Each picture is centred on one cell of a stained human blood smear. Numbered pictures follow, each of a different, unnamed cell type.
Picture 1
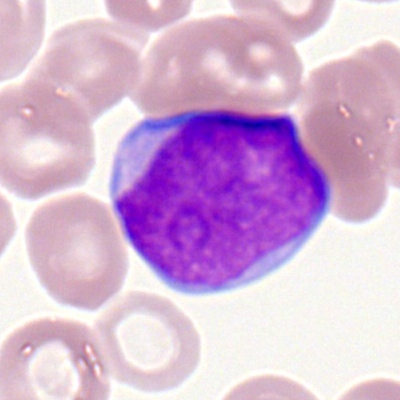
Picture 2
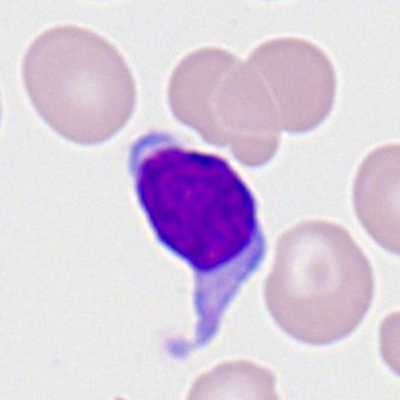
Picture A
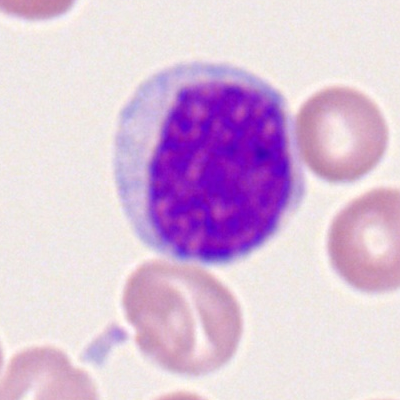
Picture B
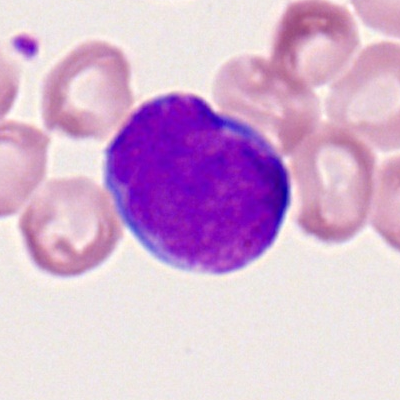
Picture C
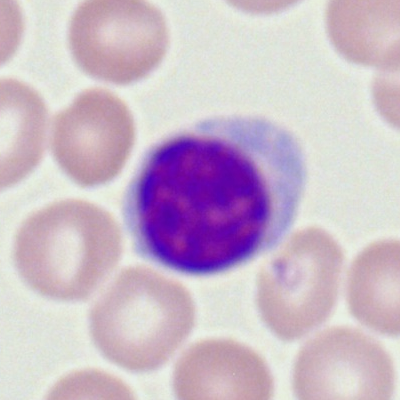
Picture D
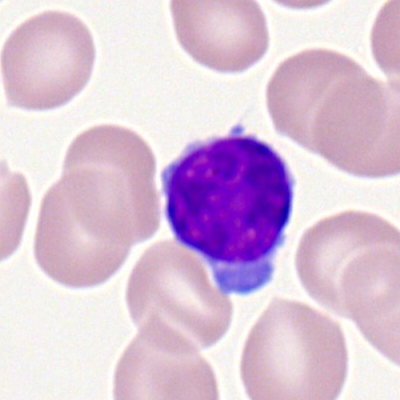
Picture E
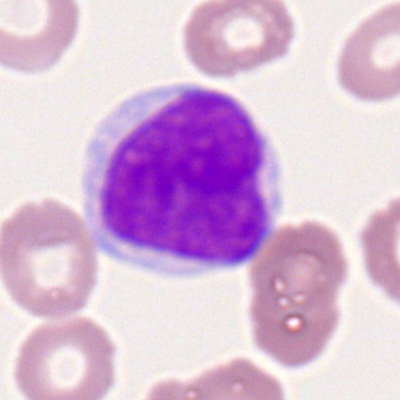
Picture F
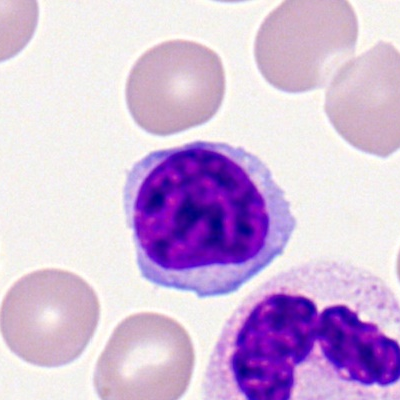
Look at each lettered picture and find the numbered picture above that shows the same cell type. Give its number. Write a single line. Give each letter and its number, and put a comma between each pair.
A 2, B 1, C 2, D 2, E 2, F 2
